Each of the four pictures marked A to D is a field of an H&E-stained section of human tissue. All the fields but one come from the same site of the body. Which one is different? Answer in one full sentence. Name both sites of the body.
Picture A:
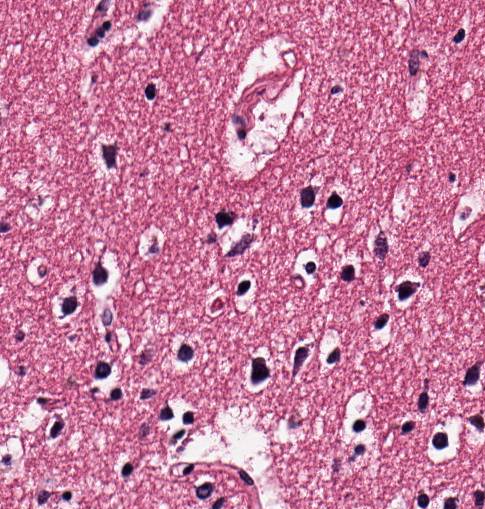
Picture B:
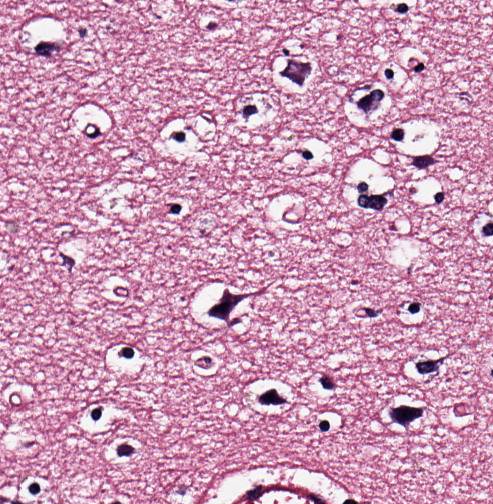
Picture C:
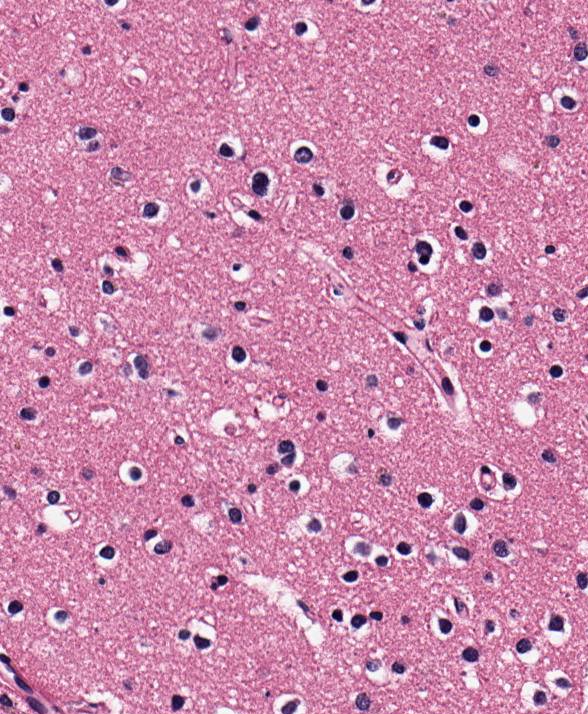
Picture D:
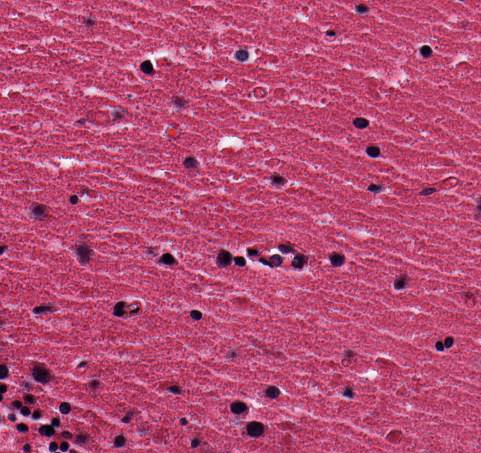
Unlike the rest, which come from the cerebral cortex, picture D comes from the cerebellum.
